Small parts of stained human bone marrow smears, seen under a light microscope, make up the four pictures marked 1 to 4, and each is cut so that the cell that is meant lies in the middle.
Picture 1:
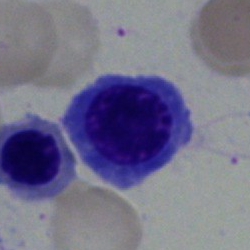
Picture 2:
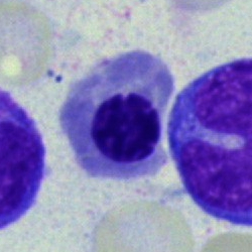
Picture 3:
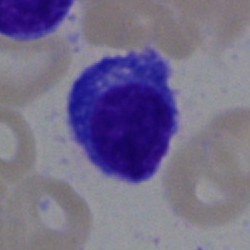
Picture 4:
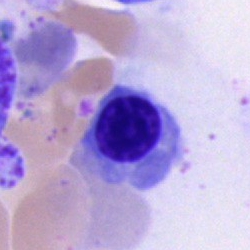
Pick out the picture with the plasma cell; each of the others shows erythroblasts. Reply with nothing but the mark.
3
